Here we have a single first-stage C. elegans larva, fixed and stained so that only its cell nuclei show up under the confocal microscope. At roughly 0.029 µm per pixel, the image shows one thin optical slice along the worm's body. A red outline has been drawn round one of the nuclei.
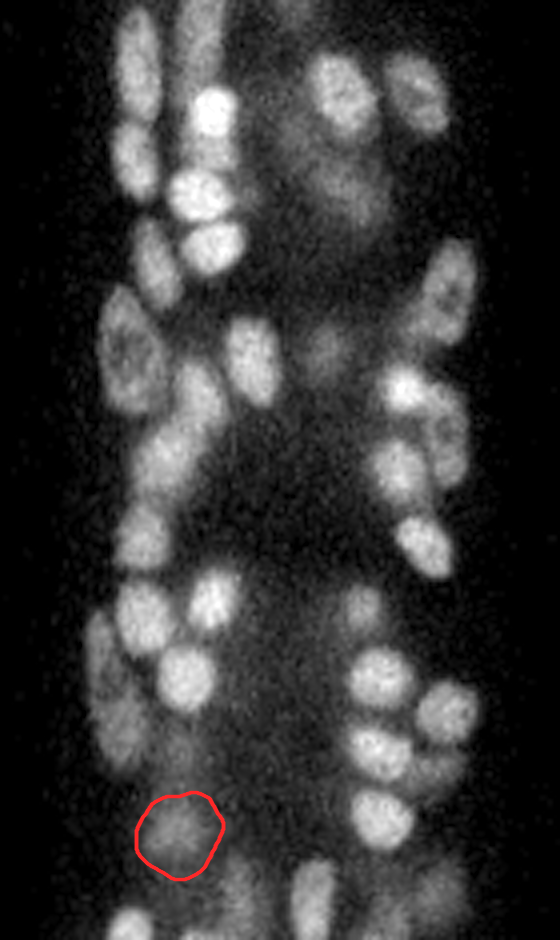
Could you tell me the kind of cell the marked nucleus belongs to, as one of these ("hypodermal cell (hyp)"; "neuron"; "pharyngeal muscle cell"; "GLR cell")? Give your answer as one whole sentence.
It belongs to a neuron.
